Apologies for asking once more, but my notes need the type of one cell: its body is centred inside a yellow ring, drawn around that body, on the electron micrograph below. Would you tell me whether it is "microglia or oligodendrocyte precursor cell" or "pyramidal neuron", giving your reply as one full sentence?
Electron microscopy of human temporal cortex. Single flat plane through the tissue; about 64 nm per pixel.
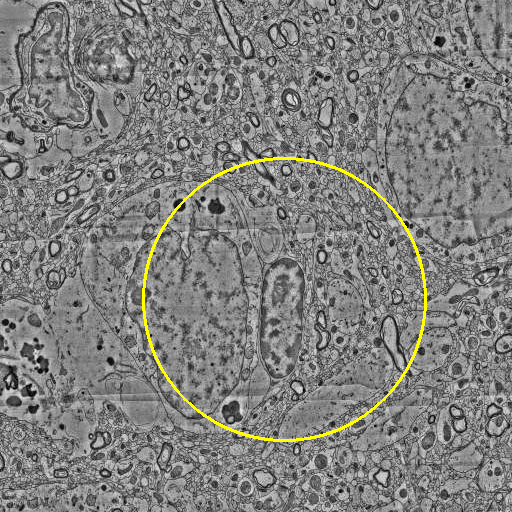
The cell that the yellow ring is centred on is a microglial cell or oligodendrocyte precursor cell in this micrograph.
